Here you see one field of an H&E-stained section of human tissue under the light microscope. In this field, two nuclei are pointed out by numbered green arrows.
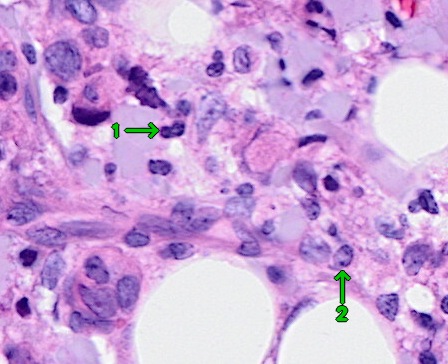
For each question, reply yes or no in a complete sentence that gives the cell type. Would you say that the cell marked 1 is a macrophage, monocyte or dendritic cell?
No, cell 1 is a lymphocyte and should not be called a macrophage, monocyte or dendritic cell.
